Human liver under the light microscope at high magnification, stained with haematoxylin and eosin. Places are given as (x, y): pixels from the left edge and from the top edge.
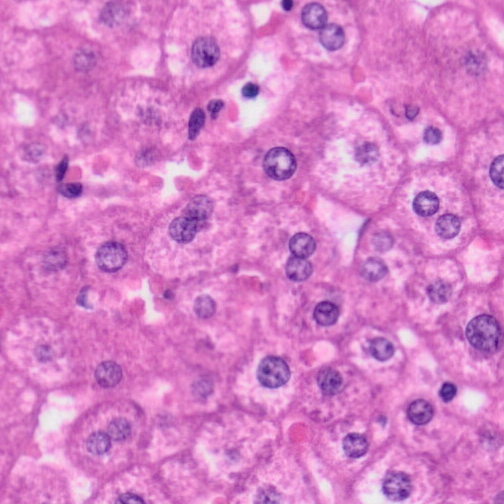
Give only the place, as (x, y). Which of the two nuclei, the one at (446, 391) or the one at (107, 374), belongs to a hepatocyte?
(107, 374)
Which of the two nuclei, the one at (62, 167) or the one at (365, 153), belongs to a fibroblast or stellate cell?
(62, 167)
